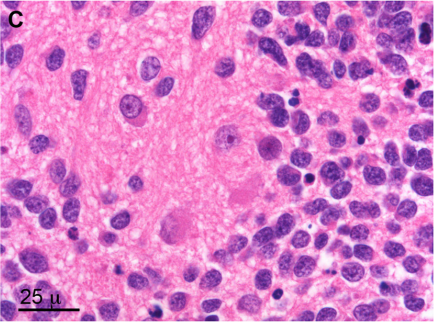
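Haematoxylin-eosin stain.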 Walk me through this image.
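This is a high-power view of a neuroblastoma with a pale pink, finely fibrillary area in the middle surrounded by tumour cells. Most of the cells around it are small with round to oval, dark purple nuclei and very little cytoplasm, packed closely together. Within the pink fibrillary area sit a few larger cells with more abundant pink cytoplasm and paler, round nuclei carrying distinct nucleoli. The contrast between the crowded small dark cells at the edges and the sparse larger cells in the fibrillary zone is the main feature of the field.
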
